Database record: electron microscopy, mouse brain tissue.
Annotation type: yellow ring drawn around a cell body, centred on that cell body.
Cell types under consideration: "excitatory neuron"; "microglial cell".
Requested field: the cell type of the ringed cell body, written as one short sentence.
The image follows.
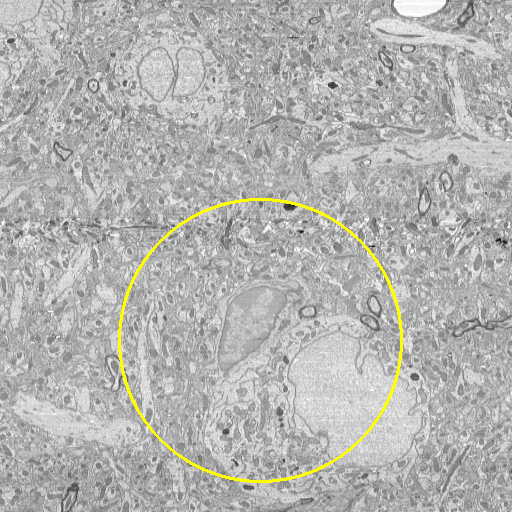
The ringed cell body represents a microglial cell.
